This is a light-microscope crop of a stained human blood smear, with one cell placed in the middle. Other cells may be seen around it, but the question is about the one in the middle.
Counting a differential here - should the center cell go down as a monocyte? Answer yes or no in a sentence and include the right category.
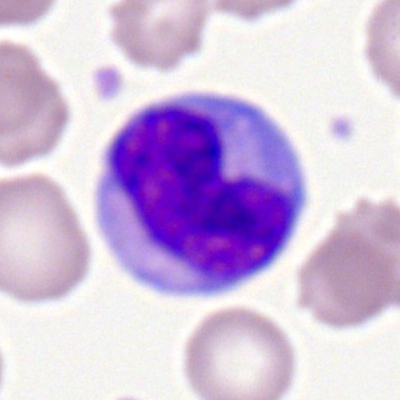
Yes, this crop has a monocyte at its centre.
